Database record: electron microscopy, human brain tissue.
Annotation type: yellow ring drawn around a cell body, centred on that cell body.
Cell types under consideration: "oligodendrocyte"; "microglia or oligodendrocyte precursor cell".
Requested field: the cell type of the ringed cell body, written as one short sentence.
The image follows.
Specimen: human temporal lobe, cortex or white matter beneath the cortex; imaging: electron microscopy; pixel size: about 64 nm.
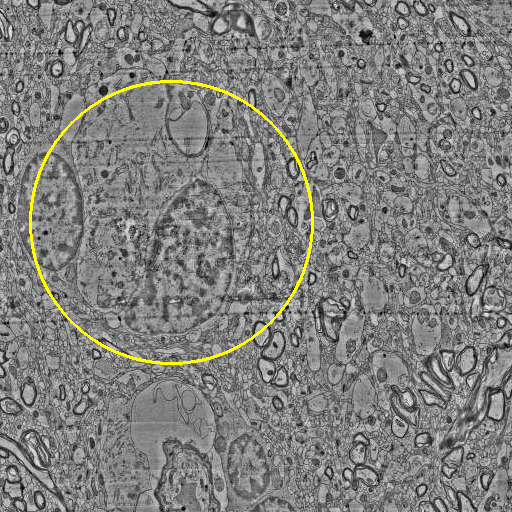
The ringed cell body represents a microglial cell or oligodendrocyte precursor cell.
